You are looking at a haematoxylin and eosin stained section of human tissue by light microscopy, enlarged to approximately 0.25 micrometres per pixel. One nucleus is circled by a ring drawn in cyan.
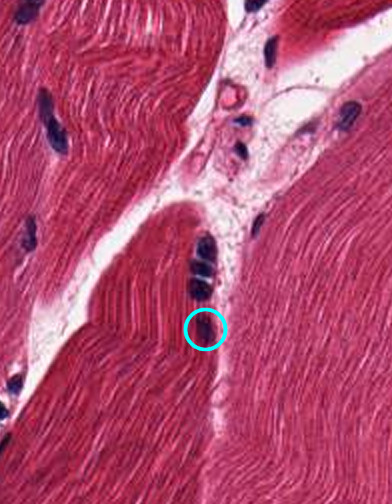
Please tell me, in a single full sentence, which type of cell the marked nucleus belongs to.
In the section shown, the marked nucleus belongs to a skeletal muscle fibre.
